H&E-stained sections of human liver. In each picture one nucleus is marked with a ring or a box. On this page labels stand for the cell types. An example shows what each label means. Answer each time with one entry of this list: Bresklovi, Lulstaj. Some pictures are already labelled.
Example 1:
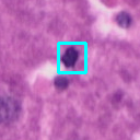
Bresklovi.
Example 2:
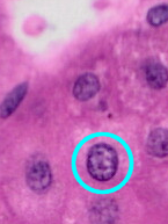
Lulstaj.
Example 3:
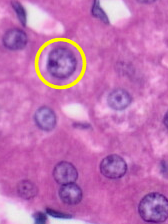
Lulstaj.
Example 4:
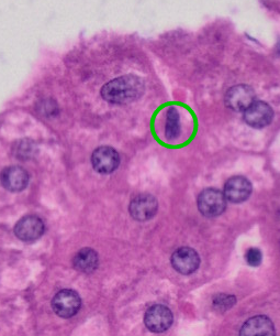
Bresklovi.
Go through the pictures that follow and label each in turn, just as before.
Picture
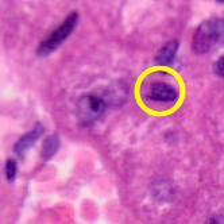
Bresklovi.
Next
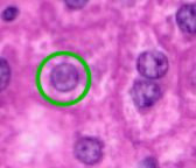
Lulstaj.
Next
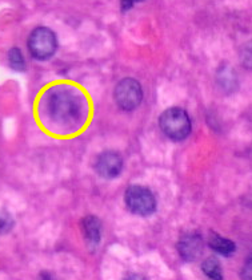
Lulstaj.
